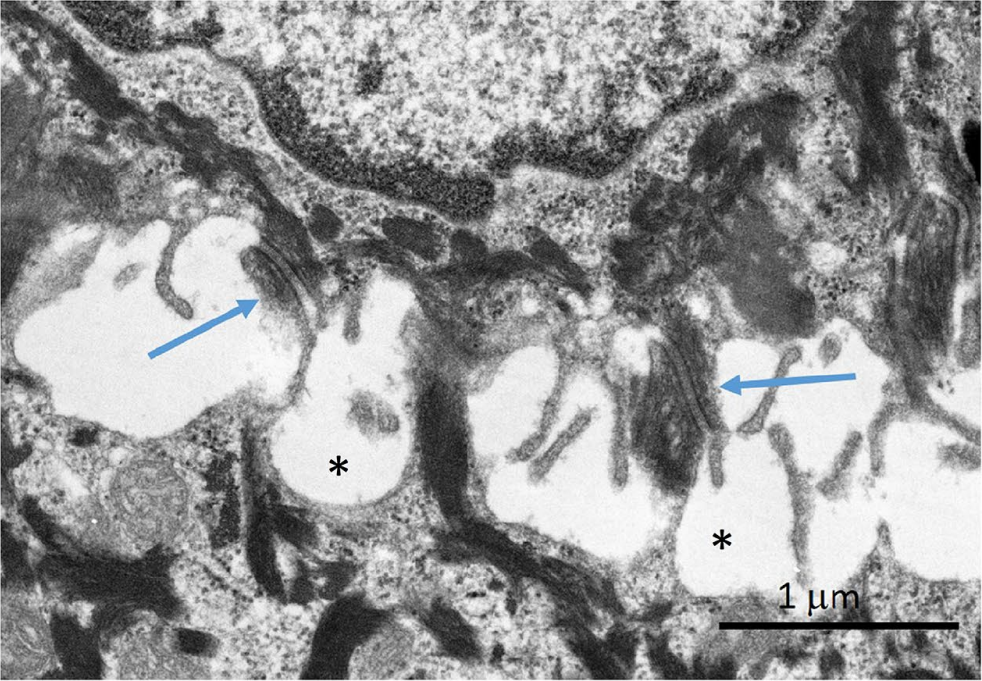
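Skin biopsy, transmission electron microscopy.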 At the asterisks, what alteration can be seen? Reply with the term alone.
widening of the intercellular spaces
